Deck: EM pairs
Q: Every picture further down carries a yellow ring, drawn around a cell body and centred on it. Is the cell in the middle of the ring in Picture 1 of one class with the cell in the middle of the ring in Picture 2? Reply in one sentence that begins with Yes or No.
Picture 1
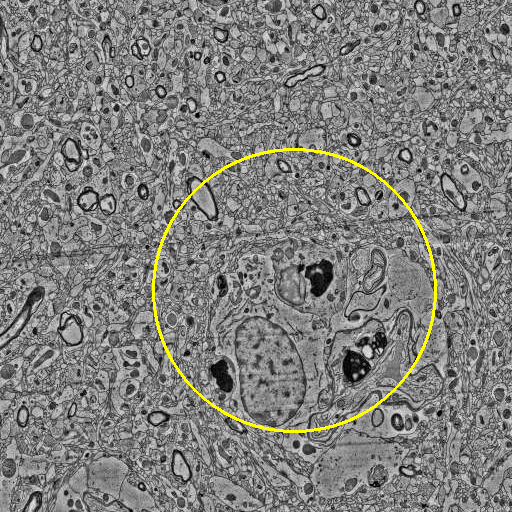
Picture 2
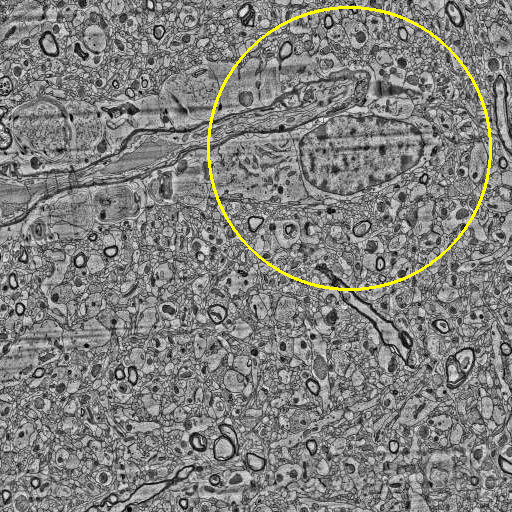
No, the cell centred in the ring of Picture 1 and the one in Picture 2 belong to separate classes.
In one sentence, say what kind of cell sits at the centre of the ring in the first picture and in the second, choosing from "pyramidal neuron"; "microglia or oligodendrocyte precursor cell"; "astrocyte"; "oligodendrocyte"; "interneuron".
The first picture's ringed cell is an oligodendrocyte, while the second picture's is a microglial cell or oligodendrocyte precursor cell.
